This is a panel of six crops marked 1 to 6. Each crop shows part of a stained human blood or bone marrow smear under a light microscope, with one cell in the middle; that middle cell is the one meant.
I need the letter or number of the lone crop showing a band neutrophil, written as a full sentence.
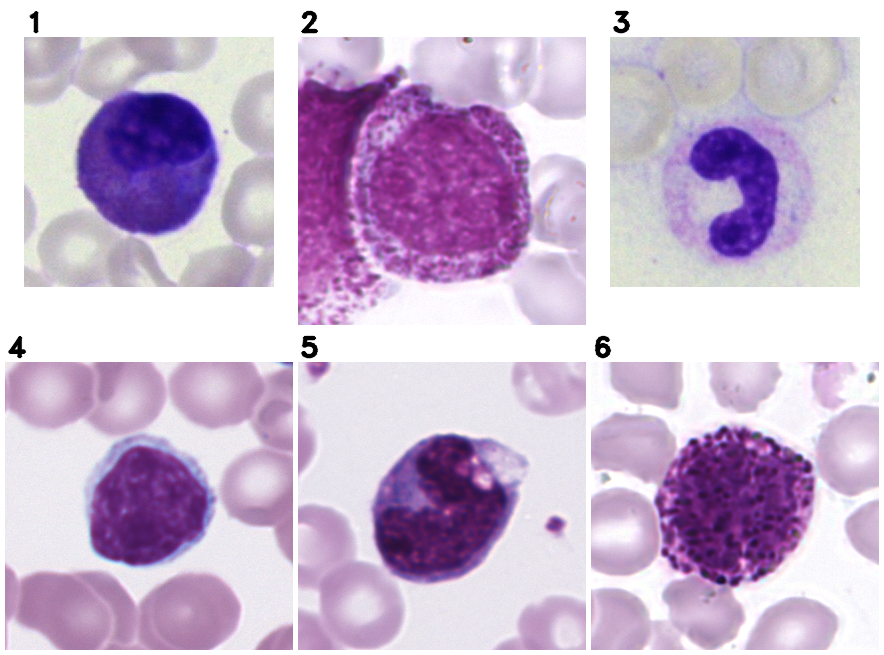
The crop bearing a band neutrophil is crop 3.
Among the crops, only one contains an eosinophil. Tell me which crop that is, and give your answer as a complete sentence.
In the set of crops, crop 1 is the one that contains an eosinophil.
